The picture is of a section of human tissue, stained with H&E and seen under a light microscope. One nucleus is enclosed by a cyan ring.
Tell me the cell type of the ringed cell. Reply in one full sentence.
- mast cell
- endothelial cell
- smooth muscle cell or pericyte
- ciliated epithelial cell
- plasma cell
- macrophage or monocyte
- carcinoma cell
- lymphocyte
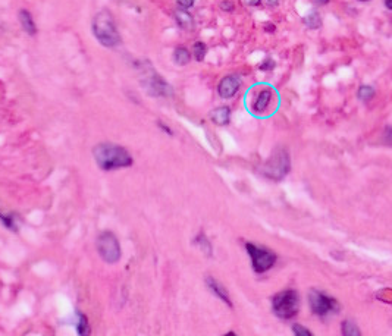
In the tissue at hand, the ringed cell is a smooth muscle cell or pericyte.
